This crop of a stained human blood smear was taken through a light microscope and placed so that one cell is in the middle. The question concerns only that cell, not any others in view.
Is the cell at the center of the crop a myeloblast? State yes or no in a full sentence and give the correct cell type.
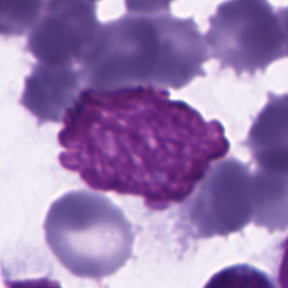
No, not a myeloblast here; the centered cell is a smudge cell.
